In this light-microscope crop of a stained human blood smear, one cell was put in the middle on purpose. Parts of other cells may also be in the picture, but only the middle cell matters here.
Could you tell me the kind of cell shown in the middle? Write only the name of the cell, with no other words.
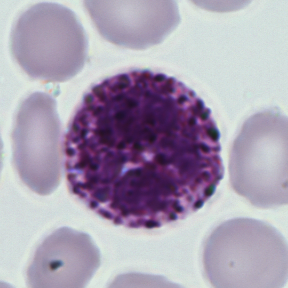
basophil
